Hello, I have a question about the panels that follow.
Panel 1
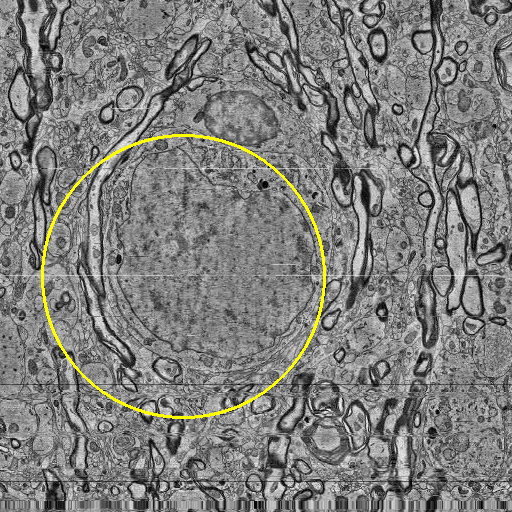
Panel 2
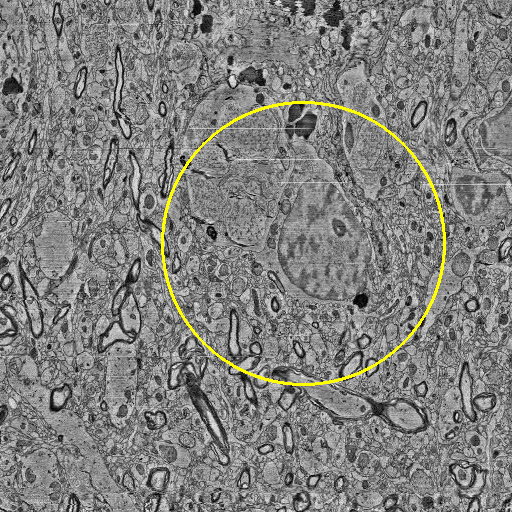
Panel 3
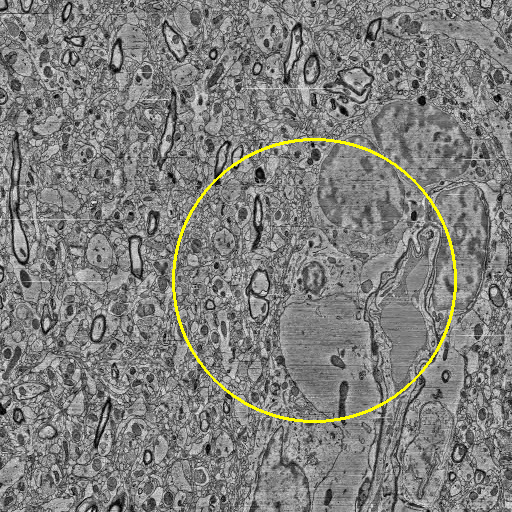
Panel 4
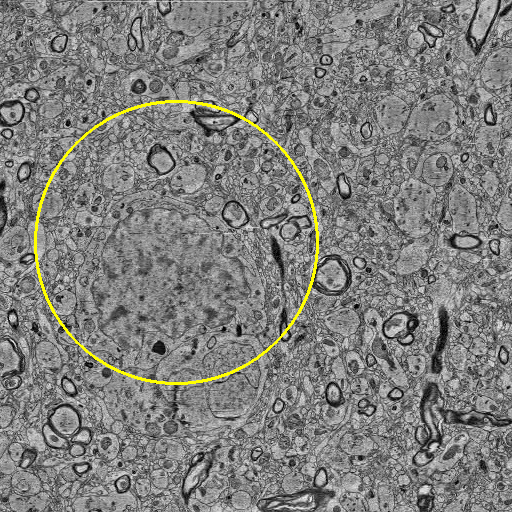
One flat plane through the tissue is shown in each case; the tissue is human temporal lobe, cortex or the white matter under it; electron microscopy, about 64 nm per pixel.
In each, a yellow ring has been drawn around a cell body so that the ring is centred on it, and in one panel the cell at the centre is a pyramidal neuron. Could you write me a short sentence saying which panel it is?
It is Panel 1.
